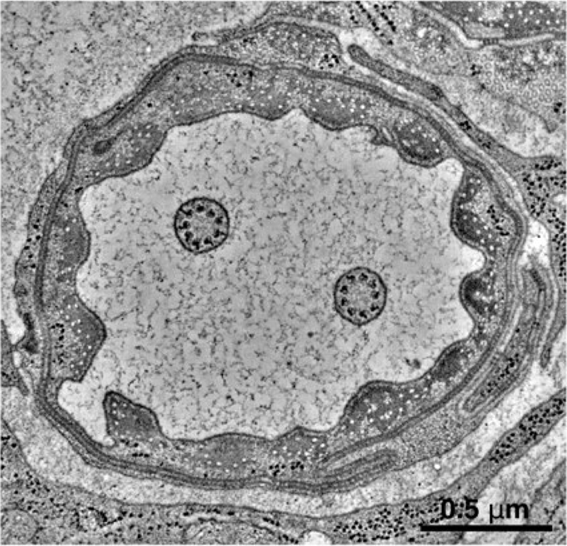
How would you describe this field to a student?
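This transverse electron micrograph shows two cilia cut in cross section, each a small round profile with a ring of microtubule doublets, lying apart in a wide, pale lumen. The lumen is bounded by a thick, folded wall of surrounding cell layers rich in small vesicles.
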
